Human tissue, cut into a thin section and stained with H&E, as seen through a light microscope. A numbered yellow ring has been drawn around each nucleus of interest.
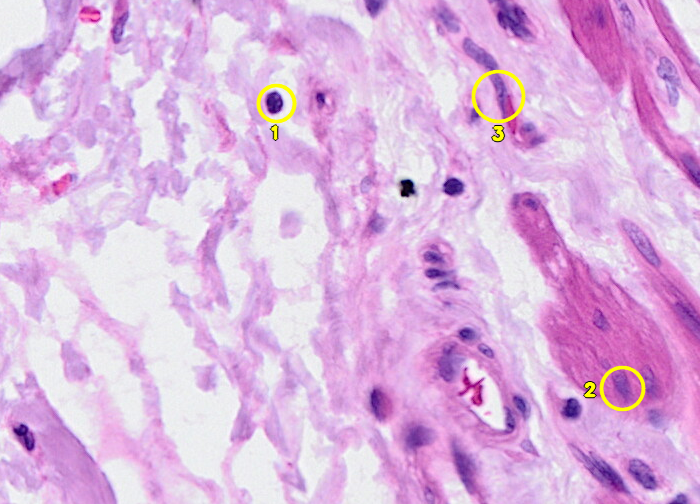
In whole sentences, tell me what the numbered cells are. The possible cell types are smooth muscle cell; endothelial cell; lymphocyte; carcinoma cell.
Cell 1 is a lymphocyte. Cell 2 is a smooth muscle cell. Cell 3 is an endothelial cell.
